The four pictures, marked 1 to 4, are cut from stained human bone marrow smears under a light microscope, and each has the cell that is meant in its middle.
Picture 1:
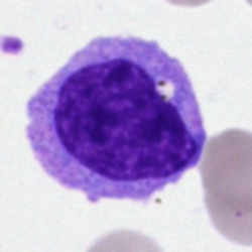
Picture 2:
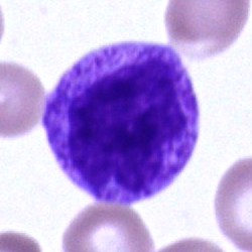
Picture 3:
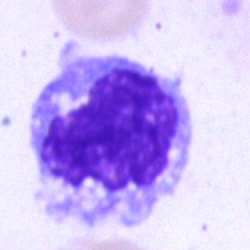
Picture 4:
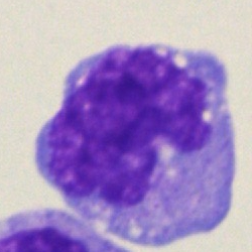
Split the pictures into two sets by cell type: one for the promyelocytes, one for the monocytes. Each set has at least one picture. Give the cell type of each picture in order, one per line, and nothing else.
monocyte
promyelocyte
monocyte
monocyte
